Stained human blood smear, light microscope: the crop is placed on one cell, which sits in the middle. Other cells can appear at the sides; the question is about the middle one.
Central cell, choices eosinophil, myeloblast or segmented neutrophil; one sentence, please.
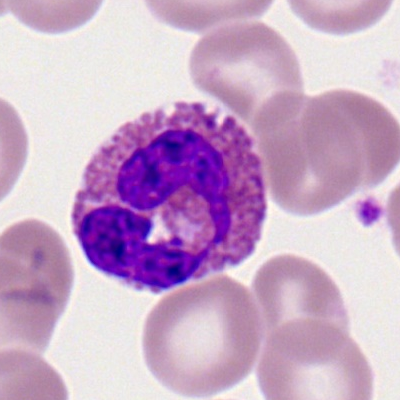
The centrally located cell in the crop is an eosinophil.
